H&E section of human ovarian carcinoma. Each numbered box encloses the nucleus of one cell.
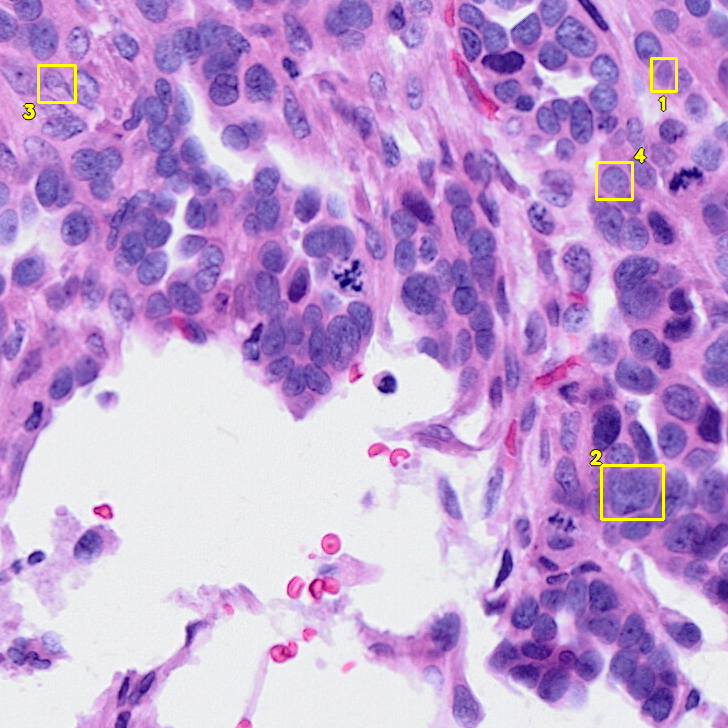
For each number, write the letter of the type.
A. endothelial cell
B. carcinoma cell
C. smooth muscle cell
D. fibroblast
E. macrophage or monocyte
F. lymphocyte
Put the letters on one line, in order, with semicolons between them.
B; B; D; B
